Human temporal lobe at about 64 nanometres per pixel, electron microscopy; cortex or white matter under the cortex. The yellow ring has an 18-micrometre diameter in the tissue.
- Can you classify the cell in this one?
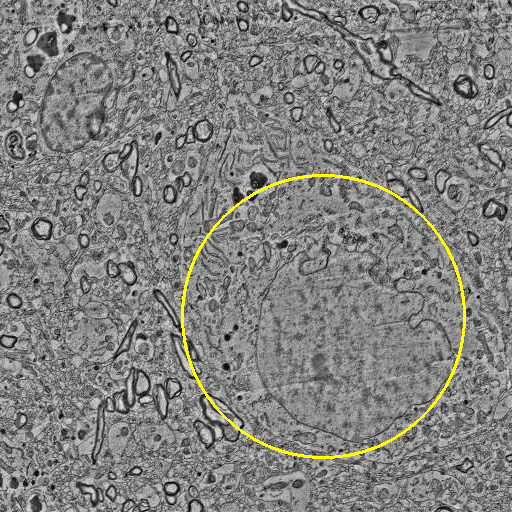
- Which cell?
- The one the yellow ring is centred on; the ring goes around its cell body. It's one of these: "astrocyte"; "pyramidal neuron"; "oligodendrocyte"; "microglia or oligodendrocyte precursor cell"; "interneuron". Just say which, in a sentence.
The cell body in the ring belongs to an interneuron.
